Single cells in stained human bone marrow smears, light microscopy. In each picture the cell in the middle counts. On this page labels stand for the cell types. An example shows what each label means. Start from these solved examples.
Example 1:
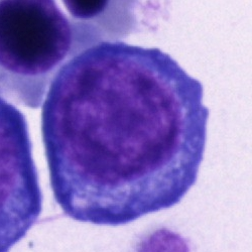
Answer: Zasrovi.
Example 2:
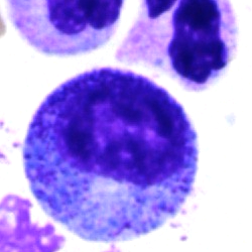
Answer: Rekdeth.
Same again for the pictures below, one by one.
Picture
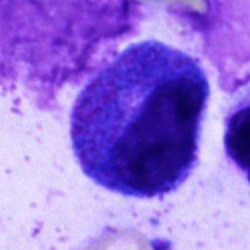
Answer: Rekdeth.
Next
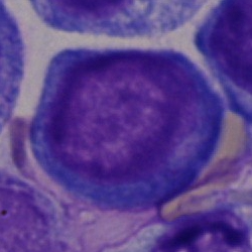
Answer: Zasrovi.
